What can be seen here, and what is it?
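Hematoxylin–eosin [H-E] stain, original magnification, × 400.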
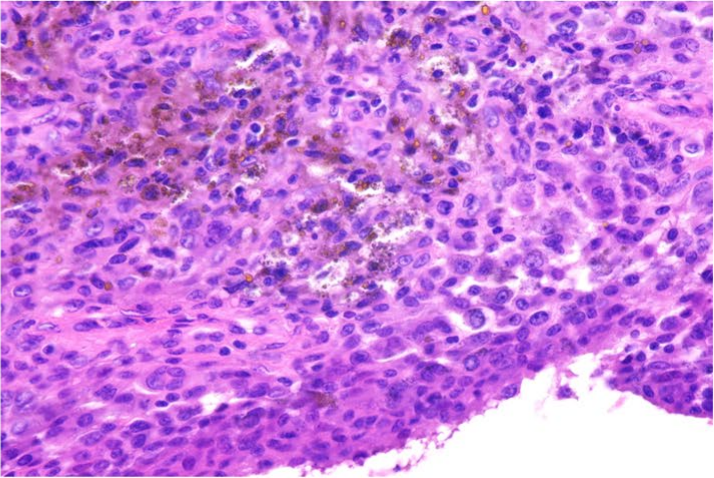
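Densely cellular lesional tissue made of sheets of plump mononuclear cells with oval to bean-shaped, vesicular nuclei and ample pink cytoplasm. Coarse golden-brown hemosiderin granules lie clustered within and between the cells in the upper left and center of the field.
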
